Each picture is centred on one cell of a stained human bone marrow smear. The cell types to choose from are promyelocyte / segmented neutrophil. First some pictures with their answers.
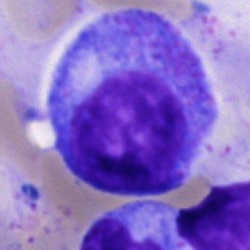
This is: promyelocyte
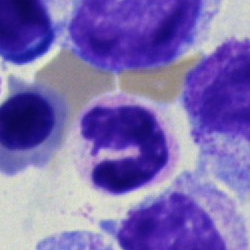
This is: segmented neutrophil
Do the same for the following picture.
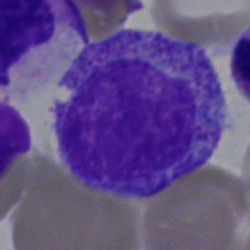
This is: promyelocyte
